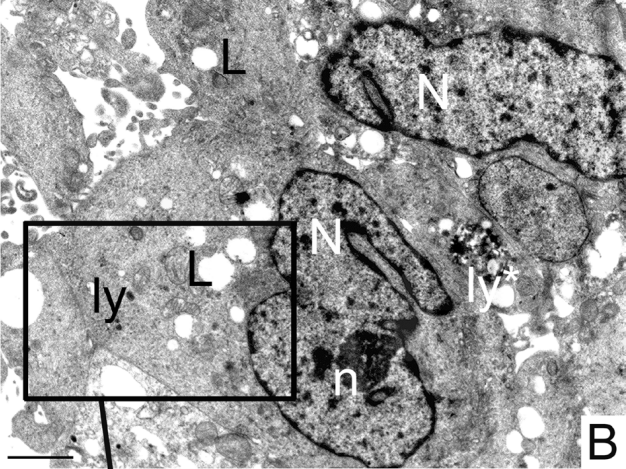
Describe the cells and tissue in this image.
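Transmission electron micrograph of several closely packed cells with irregular, indented nuclei. The nuclei are mostly pale euchromatin, with dark heterochromatin lying along the nuclear envelope, and one shows a large, dense nucleolus. The cytoplasm holds round, clear lipid droplets, small dark lysosomes and a cluster of dense material in a larger lysosome. Neighbouring cell surfaces bear small processes, and clear spaces open between the cells.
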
